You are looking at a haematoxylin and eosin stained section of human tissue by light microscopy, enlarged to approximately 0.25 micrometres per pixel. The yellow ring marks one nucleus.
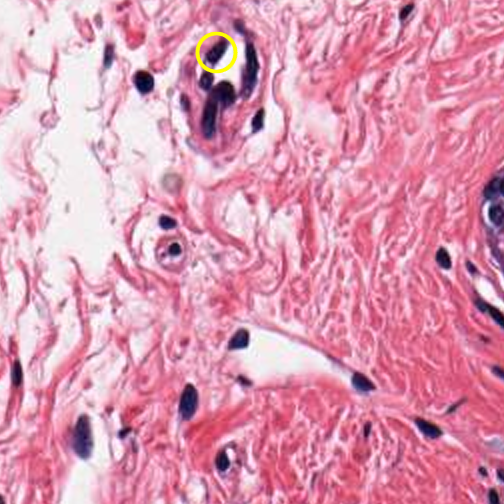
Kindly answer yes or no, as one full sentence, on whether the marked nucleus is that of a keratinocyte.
No, the marked nucleus sits in a supporting cell; a keratinocyte does not contain it.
